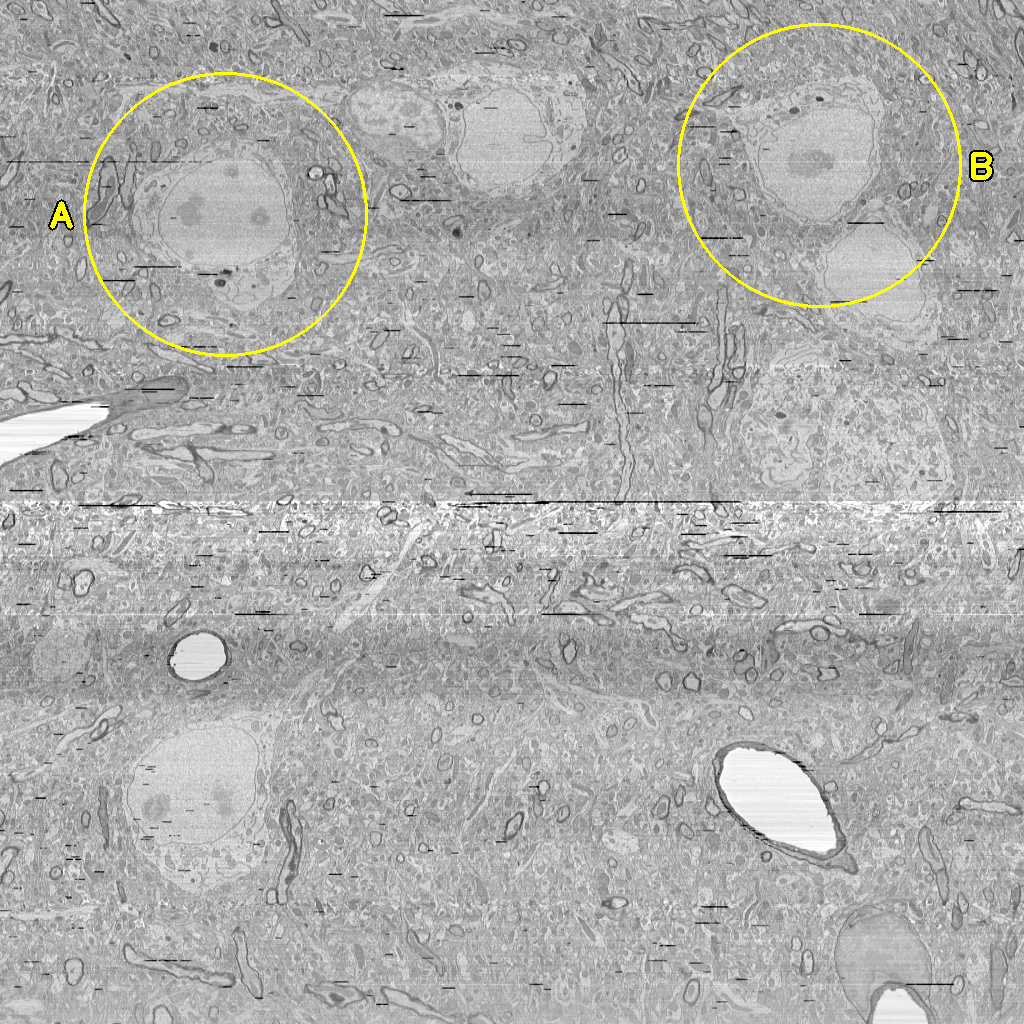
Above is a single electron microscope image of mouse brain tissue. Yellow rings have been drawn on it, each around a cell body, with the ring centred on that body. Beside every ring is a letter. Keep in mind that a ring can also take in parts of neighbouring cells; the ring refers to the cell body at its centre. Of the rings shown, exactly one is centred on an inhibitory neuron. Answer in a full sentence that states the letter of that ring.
The cell at the centre of ring B is the one asked for.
